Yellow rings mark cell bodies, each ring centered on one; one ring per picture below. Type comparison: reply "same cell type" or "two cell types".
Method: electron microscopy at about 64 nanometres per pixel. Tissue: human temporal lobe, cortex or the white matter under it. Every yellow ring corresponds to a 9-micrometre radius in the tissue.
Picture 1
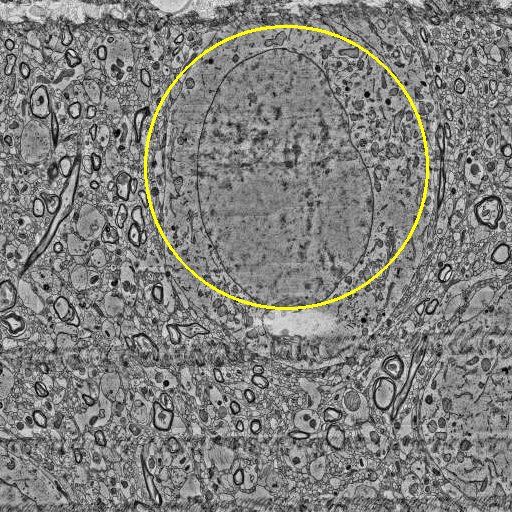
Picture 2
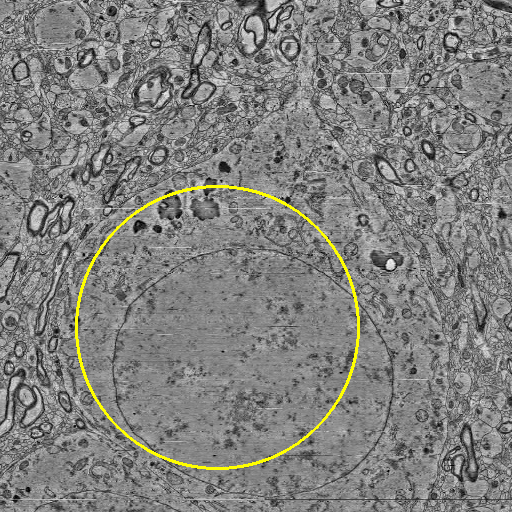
same cell type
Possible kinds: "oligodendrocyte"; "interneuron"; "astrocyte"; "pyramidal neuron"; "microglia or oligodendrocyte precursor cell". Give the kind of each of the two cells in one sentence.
Each of the two cells is a pyramidal neuron.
